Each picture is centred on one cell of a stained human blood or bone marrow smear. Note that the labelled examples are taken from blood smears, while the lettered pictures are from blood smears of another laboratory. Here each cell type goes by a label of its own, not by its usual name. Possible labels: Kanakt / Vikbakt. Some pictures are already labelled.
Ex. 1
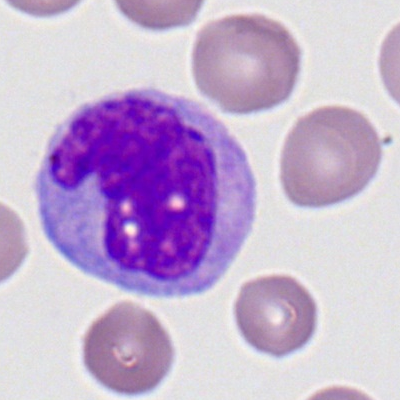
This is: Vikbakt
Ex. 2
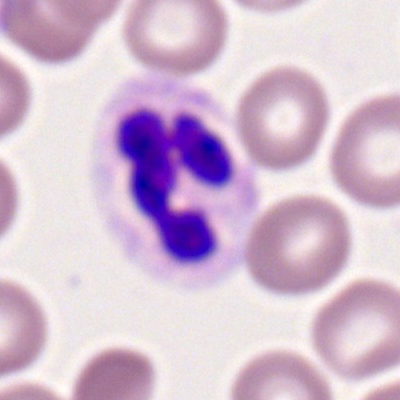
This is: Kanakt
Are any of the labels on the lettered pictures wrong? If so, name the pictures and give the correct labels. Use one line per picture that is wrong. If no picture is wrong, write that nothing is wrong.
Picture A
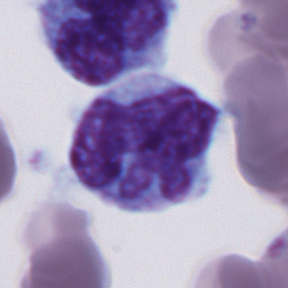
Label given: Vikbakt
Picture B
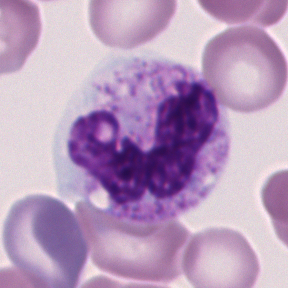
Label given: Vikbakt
B: not Vikbakt but Kanakt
